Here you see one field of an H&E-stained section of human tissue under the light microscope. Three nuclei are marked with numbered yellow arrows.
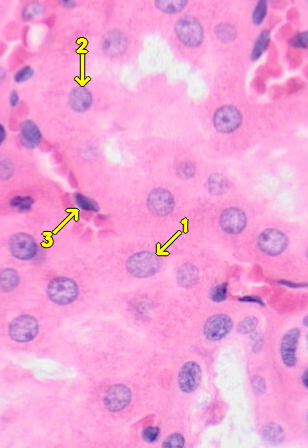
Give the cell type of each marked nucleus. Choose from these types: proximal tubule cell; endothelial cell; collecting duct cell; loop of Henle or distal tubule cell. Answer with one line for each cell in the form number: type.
1: proximal tubule cell
2: proximal tubule cell
3: endothelial cell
